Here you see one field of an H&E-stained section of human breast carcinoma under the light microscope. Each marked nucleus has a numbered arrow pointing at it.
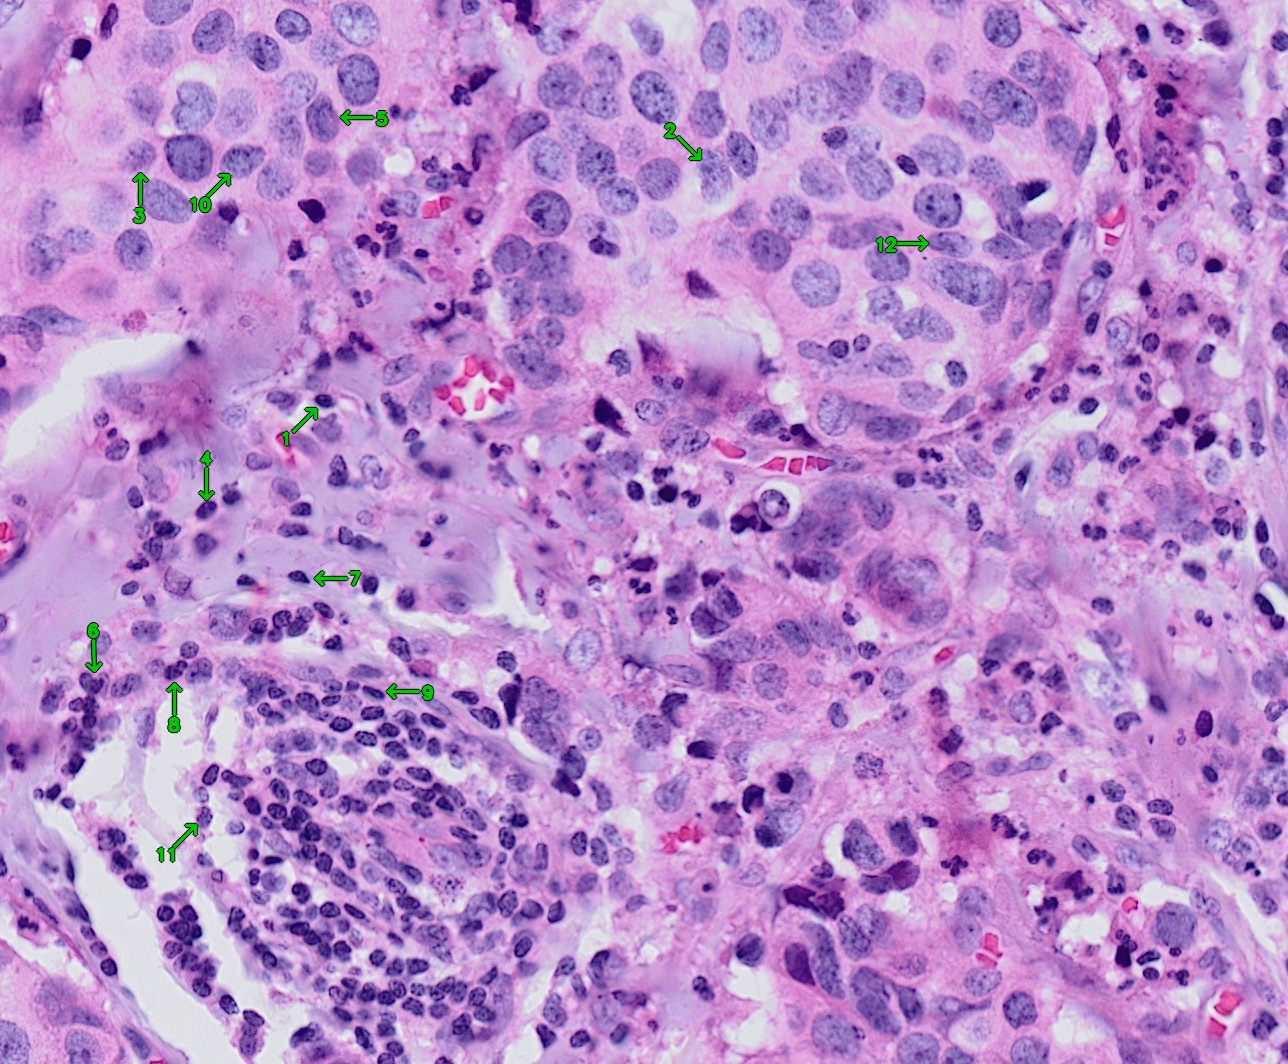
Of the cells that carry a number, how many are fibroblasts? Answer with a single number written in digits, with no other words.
0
